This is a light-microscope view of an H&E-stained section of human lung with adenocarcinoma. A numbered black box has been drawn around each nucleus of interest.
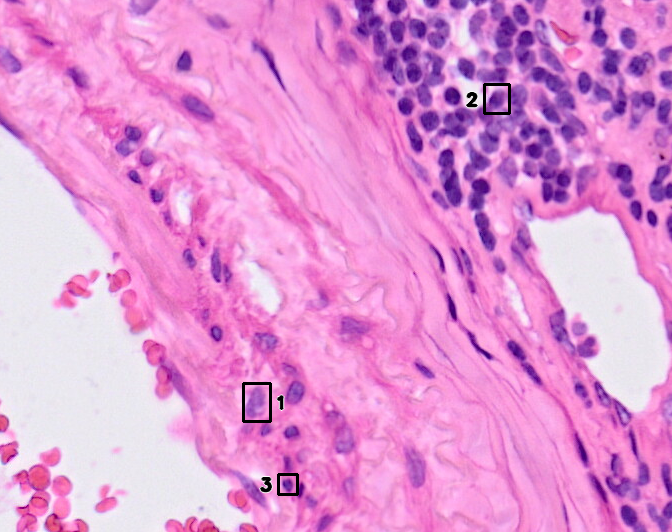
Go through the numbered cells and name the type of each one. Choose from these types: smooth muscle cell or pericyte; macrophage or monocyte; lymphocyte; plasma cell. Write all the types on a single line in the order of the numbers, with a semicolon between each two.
smooth muscle cell or pericyte; lymphocyte; smooth muscle cell or pericyte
